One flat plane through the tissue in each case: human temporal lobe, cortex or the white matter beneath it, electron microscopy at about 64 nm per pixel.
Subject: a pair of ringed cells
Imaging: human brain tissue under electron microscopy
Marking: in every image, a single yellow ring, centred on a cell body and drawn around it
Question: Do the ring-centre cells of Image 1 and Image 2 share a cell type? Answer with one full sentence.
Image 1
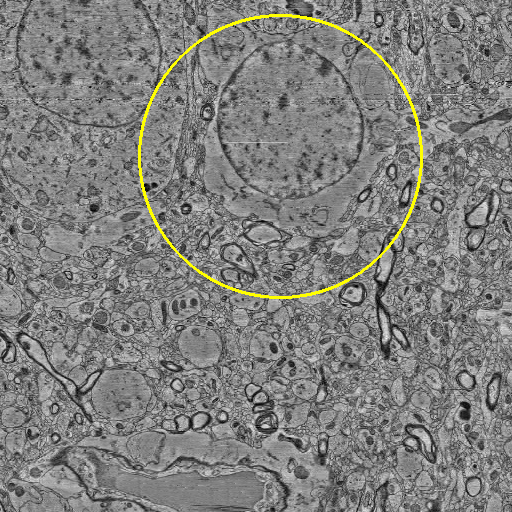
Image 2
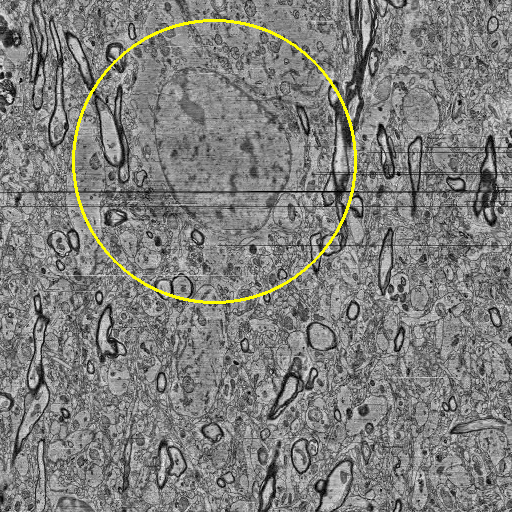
Yes, at each ring's centre in the images sits a cell of one common type.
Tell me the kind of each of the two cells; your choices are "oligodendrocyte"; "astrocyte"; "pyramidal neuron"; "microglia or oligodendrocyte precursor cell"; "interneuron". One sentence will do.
Each of the two pictures has an astrocyte at the ring centre.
